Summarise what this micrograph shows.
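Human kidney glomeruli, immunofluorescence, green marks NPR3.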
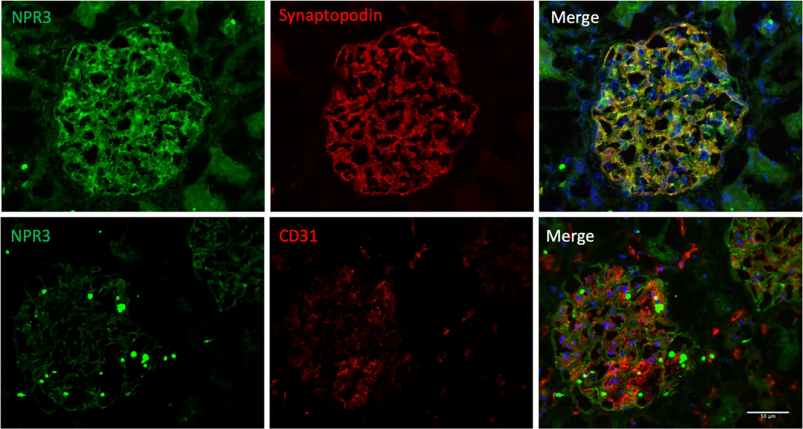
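In the top row the green label outlines a dense meshwork along the capillary loops throughout the tuft, and the red label follows the same meshwork, so that the merged image appears largely yellow over the tuft, with blue nuclei scattered among the loops. In the bottom row the green label again traces fine loops within the tuft, with some bright green round dots, while the red label is patchier, lying within the tuft and also in scattered spots in the tissue around it, overlapping the green less closely.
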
